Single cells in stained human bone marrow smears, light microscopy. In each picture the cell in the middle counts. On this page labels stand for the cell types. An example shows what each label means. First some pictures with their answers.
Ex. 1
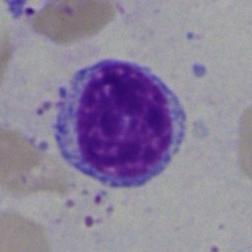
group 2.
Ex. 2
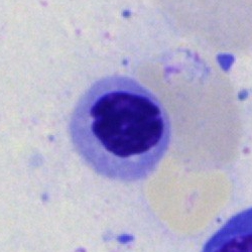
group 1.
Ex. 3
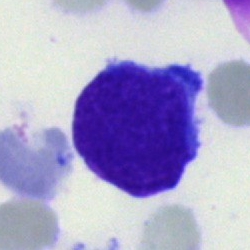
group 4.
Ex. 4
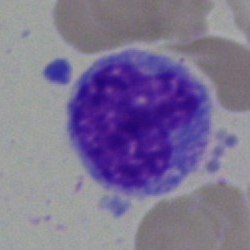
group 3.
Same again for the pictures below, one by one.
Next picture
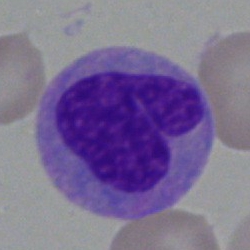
group 3.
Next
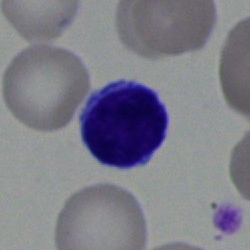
group 2.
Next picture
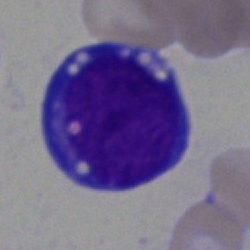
group 4.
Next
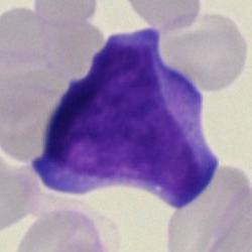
group 4.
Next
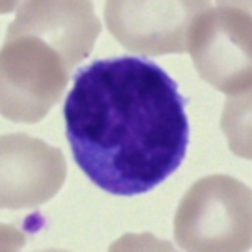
group 3.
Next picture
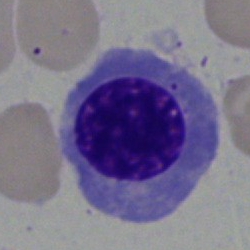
group 1.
